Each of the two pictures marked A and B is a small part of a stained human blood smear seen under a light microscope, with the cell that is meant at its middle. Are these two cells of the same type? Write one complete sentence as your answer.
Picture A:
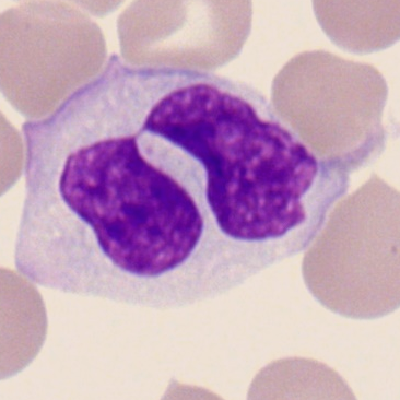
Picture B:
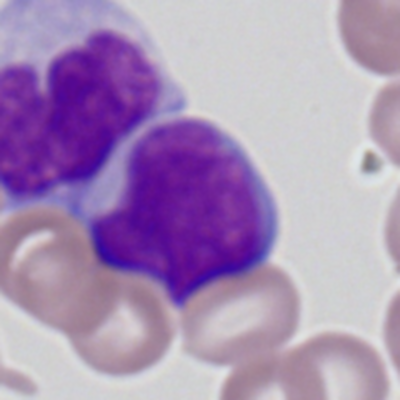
No; the cell in picture A is a monocyte, while the one in picture B is a myeloblast.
